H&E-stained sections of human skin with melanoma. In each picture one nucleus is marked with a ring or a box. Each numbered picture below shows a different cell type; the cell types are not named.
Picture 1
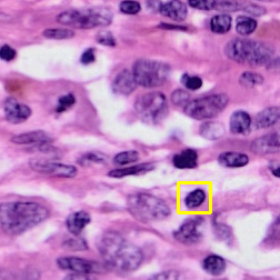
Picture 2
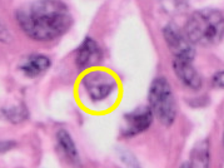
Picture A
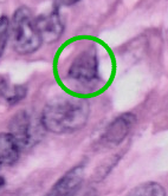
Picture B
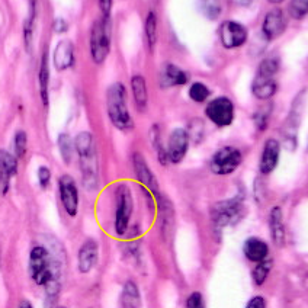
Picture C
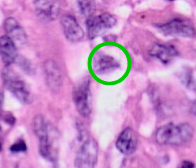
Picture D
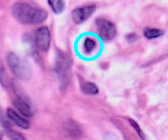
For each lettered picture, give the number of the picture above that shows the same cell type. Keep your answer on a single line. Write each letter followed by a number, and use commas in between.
A 2, B 1, C 2, D 1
